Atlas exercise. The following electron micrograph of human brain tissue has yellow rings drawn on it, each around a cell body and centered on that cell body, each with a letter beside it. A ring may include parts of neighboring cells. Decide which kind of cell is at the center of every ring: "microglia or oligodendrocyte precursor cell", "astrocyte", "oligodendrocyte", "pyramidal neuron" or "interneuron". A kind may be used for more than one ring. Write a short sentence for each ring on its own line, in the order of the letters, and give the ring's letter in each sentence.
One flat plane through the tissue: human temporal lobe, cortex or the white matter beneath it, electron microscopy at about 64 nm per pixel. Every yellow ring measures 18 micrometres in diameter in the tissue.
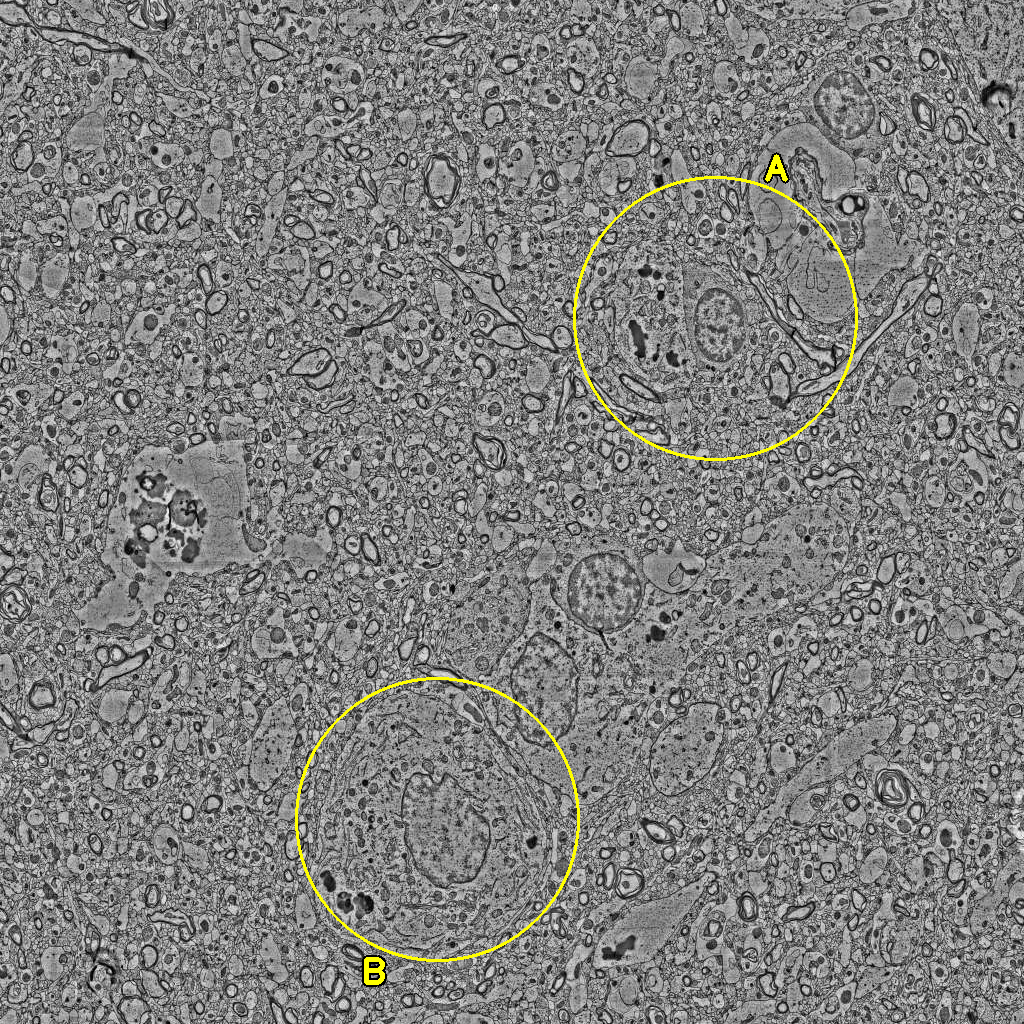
Ring A frames an oligodendrocyte at its center.
Ring B frames an interneuron at its center.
